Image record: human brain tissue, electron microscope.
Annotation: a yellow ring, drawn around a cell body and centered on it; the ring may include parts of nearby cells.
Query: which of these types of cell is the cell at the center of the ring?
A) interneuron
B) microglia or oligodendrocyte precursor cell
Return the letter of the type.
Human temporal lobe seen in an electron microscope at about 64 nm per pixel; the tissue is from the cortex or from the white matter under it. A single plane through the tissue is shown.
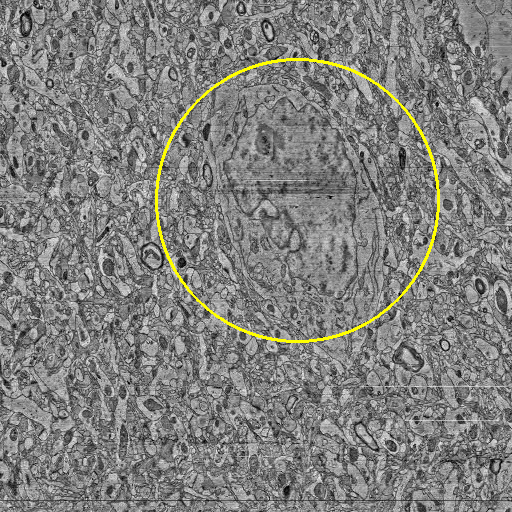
A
